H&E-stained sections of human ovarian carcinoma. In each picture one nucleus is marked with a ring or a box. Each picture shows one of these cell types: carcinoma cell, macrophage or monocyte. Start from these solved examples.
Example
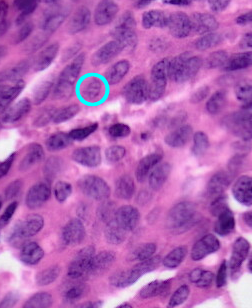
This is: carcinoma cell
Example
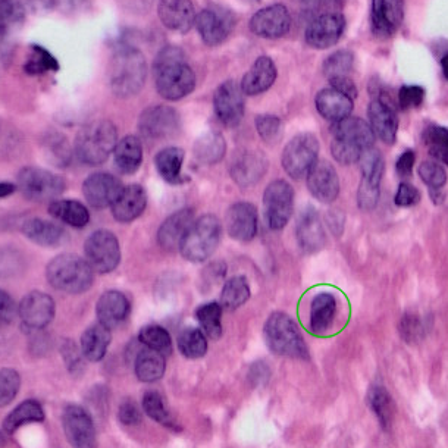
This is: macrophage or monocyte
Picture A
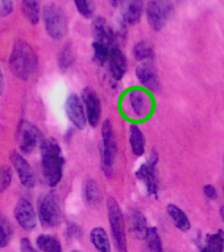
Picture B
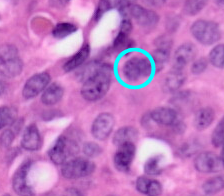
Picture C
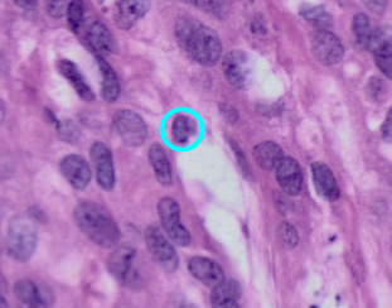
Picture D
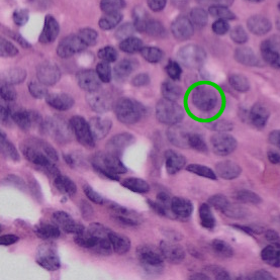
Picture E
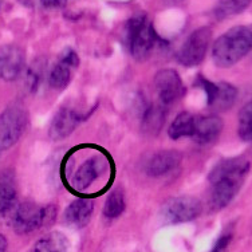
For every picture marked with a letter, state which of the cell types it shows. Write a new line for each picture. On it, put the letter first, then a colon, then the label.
A: macrophage or monocyte
B: carcinoma cell
C: macrophage or monocyte
D: carcinoma cell
E: macrophage or monocyte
